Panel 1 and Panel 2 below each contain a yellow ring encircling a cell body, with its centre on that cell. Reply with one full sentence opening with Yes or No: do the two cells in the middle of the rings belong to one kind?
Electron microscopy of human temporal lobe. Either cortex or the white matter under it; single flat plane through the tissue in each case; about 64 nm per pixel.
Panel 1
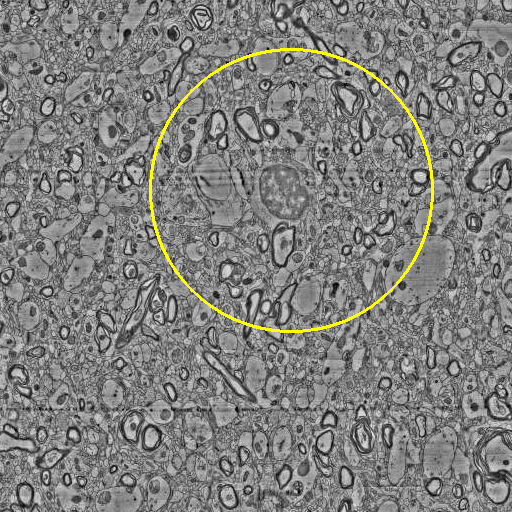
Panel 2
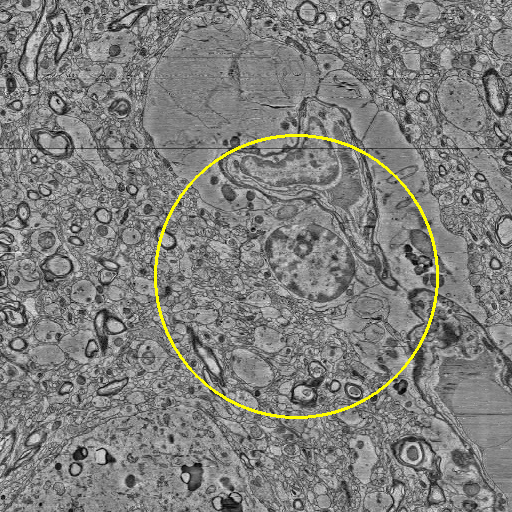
No, the cells at the middle of the Panel 1 ring and the Panel 2 ring are of two kinds.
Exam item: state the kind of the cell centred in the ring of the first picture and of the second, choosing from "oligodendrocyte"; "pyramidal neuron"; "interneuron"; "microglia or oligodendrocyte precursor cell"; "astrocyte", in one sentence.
The first picture shows an oligodendrocyte at the ring centre and the second shows a microglial cell or oligodendrocyte precursor cell.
